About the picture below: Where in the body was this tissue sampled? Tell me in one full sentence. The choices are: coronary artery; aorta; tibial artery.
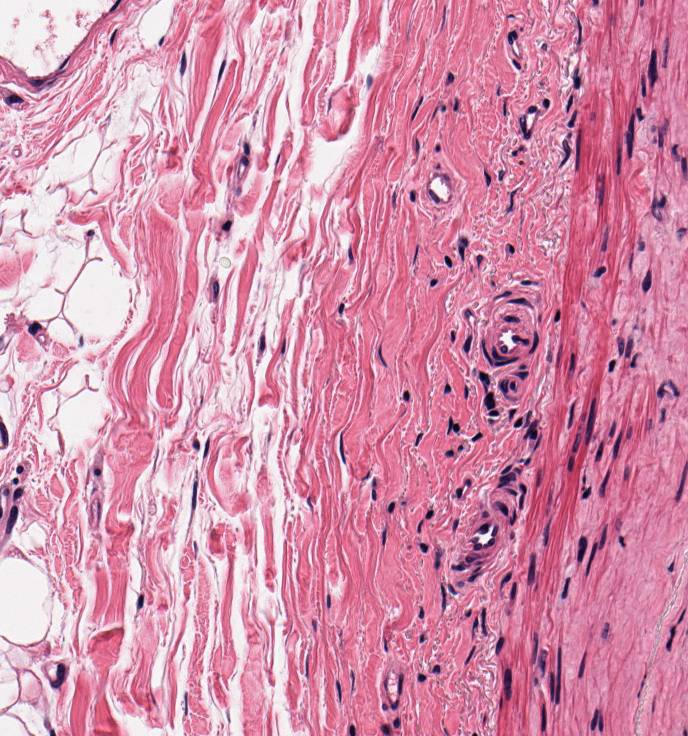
The sample was taken from the coronary artery.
